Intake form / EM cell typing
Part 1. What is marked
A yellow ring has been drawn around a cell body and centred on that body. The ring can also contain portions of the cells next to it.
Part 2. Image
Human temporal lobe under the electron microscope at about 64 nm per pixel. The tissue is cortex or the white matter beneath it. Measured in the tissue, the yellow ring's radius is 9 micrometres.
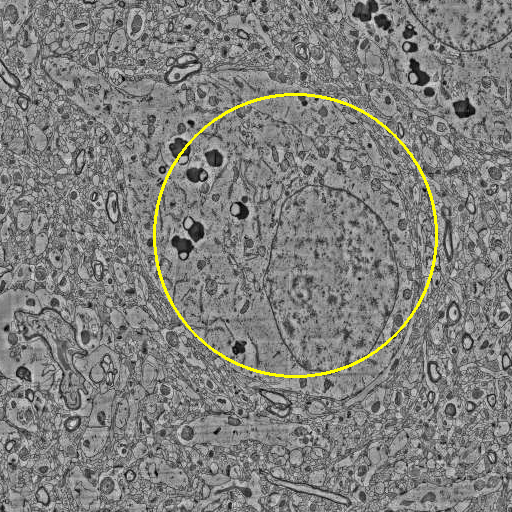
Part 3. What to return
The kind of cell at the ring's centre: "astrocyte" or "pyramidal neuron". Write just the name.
pyramidal neuron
